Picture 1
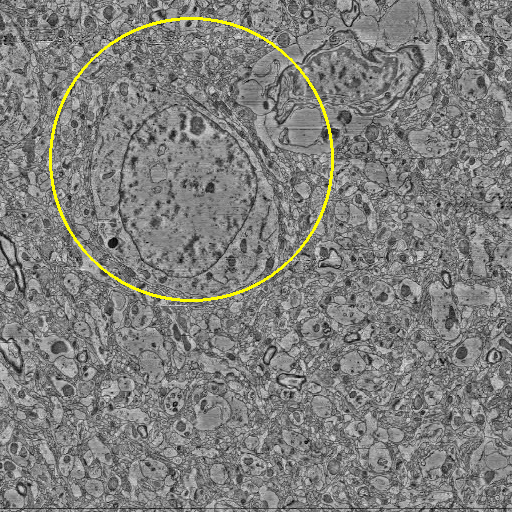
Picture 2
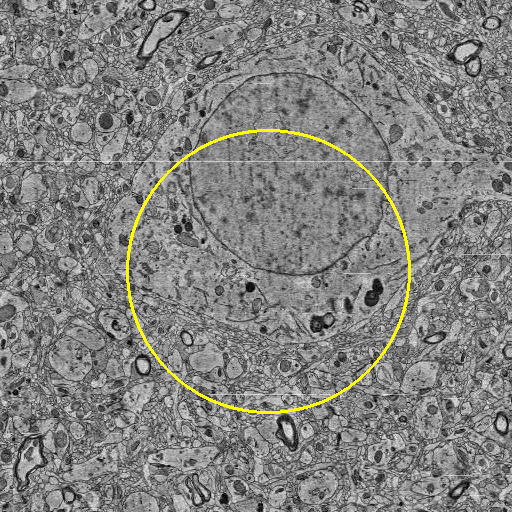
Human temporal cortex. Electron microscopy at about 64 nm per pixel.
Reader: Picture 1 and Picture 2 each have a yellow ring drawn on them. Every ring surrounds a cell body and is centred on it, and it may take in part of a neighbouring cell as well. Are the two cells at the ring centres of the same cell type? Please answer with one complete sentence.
Yes, both cells are of the same cell type.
